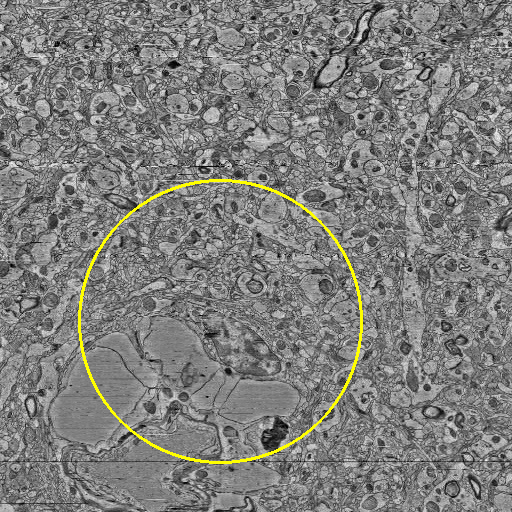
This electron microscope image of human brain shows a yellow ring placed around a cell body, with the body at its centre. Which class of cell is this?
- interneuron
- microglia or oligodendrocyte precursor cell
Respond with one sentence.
The cell body at the ring's centre is a microglial cell or oligodendrocyte precursor cell.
